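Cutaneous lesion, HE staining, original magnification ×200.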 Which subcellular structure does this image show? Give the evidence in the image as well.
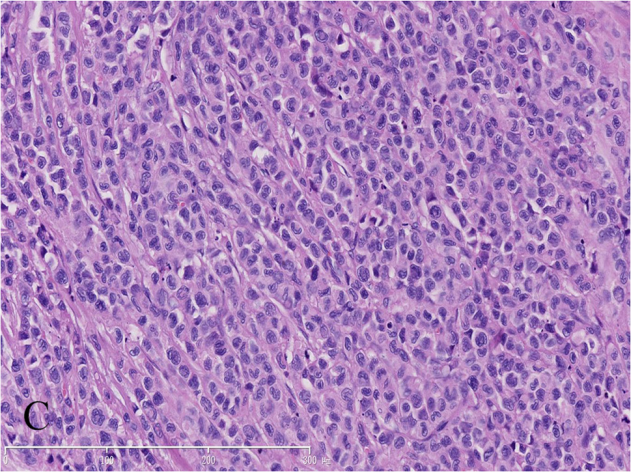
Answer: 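Cells have large oval nuclei, some with folded or indented outlines. Nuclei are surrounded by moderate pale pink cytoplasm. On this evidence: large oval to convoluted nuclei.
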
